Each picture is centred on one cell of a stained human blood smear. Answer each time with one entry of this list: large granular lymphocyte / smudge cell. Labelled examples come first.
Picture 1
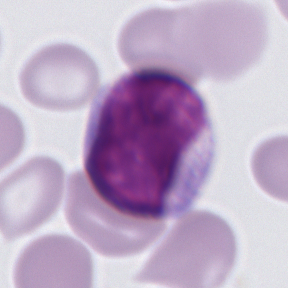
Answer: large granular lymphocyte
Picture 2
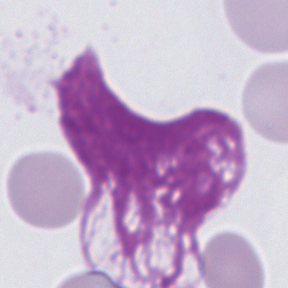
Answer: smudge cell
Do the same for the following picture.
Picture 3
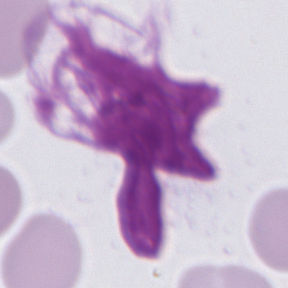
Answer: smudge cell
